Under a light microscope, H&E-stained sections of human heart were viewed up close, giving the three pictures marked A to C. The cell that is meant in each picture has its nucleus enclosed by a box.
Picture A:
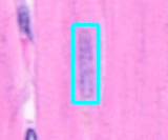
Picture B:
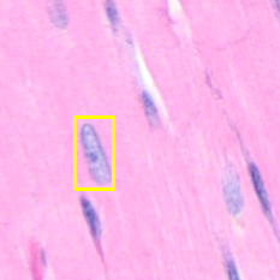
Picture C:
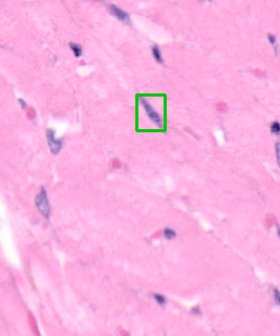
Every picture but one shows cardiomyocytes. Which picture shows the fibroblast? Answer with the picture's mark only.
C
